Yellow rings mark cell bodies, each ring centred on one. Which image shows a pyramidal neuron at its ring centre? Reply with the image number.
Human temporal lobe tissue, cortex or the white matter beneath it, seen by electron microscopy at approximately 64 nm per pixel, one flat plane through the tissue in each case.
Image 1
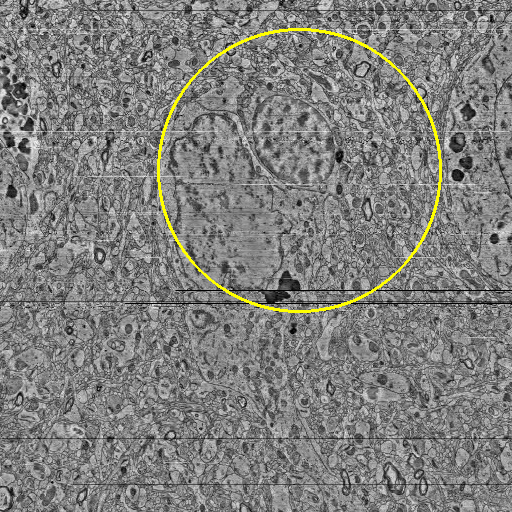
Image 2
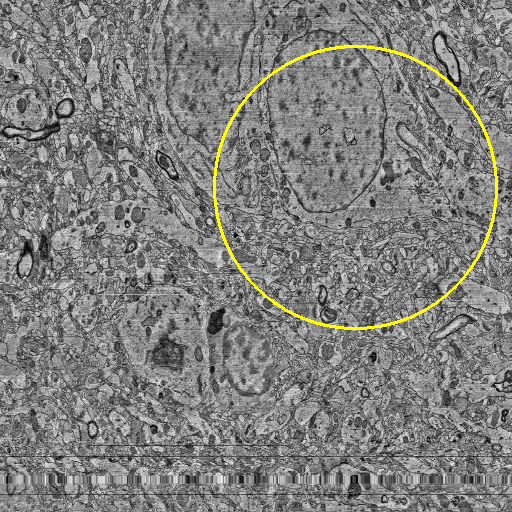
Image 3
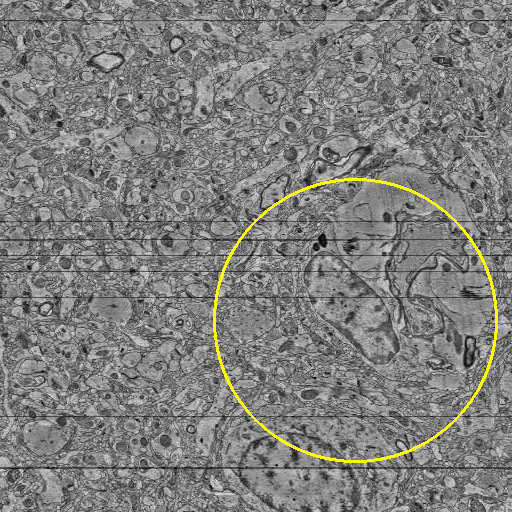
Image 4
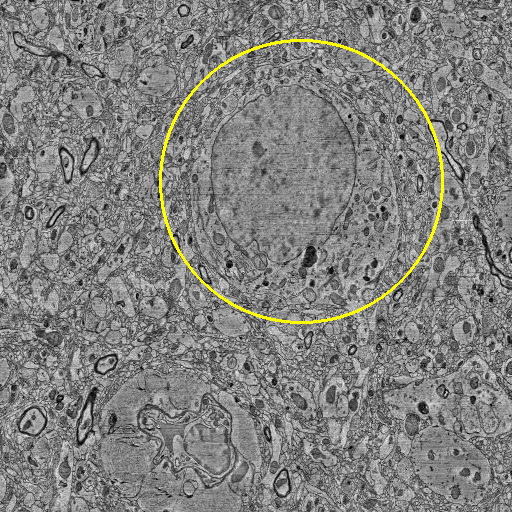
2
